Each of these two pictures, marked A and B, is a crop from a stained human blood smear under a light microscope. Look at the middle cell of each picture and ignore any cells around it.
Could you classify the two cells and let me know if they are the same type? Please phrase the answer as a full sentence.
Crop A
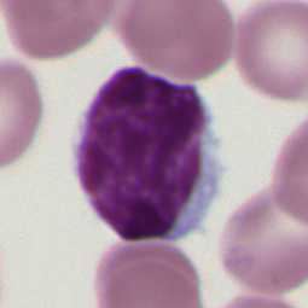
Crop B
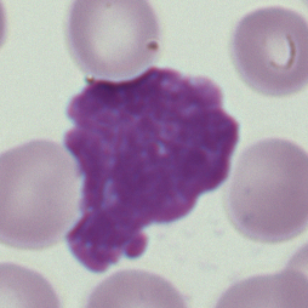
No, a smudge cell is the cell in crop B, and crop A contains a typical lymphocyte.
